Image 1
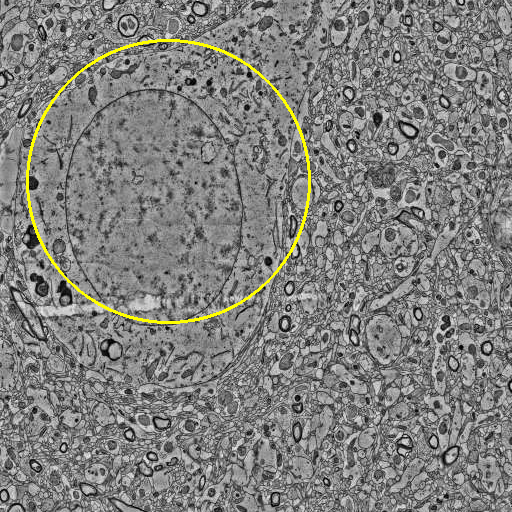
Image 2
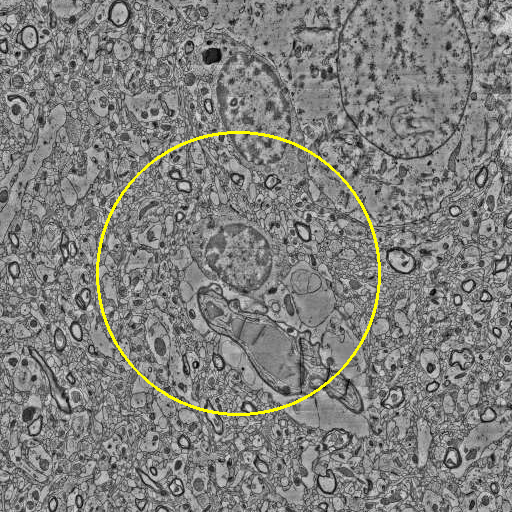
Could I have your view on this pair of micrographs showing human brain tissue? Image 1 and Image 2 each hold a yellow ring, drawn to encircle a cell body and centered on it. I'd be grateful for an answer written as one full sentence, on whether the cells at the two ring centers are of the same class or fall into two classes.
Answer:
The cells at the centers of the two rings fall into two classes.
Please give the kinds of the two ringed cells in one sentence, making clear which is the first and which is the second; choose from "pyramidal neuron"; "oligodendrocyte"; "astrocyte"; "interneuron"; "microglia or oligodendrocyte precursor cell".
In the second picture the ringed cell is an oligodendrocyte; in the first it is a pyramidal neuron.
